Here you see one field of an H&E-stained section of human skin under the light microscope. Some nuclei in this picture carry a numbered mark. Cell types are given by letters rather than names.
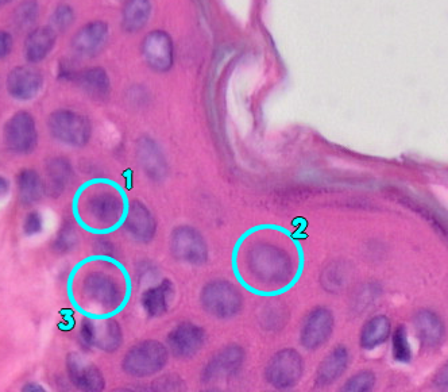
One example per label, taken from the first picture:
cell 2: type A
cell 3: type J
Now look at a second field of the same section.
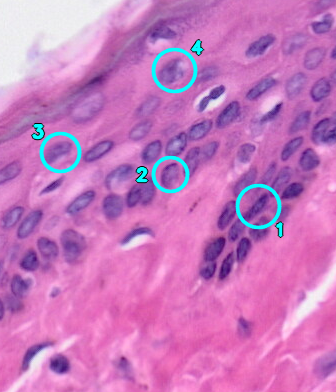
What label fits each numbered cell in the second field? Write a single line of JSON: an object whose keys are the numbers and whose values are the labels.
{"1": "type J", "2": "type J", "3": "type A", "4": "type A"}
